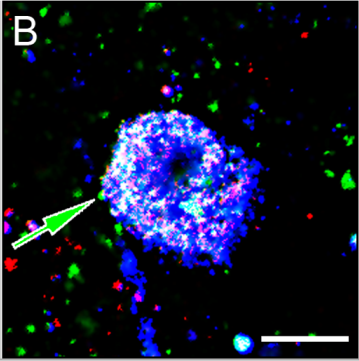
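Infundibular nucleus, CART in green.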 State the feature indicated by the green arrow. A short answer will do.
Axo-somatic afferent contact.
